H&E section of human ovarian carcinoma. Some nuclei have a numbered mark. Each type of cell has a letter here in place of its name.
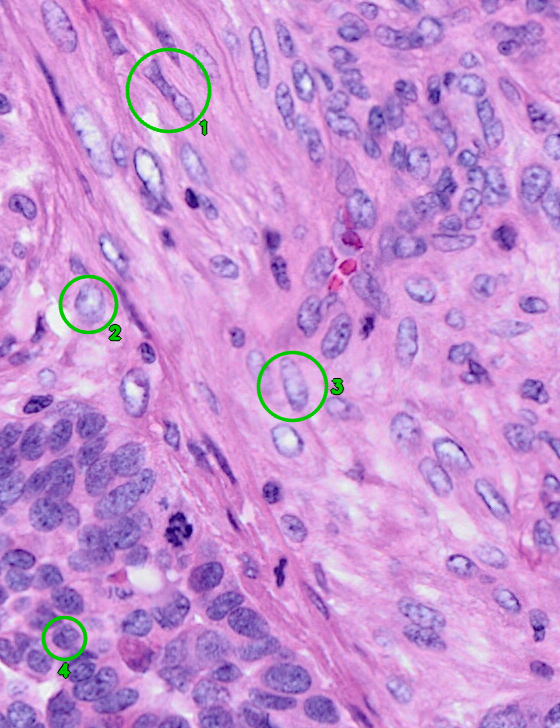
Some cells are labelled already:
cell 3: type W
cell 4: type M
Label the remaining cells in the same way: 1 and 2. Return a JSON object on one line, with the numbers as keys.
{"1": "type W", "2": "type W"}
